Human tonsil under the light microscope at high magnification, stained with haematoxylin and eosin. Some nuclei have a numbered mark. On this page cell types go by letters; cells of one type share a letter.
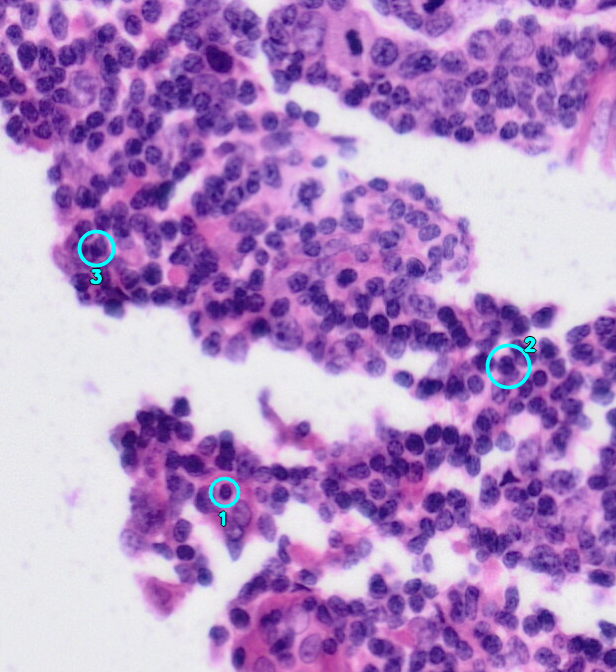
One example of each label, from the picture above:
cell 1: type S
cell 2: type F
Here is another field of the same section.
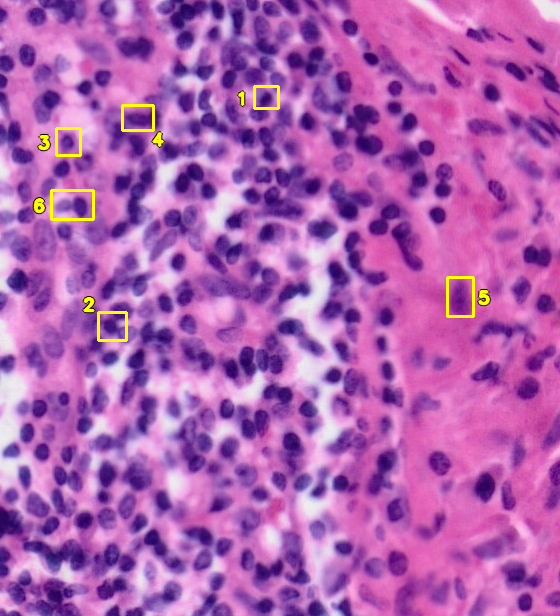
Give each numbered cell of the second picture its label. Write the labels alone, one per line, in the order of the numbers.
type F
type F
type S
type S
type S
type S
